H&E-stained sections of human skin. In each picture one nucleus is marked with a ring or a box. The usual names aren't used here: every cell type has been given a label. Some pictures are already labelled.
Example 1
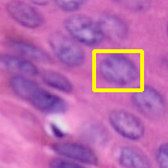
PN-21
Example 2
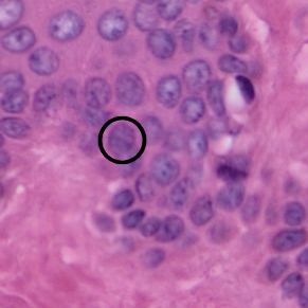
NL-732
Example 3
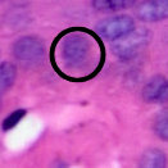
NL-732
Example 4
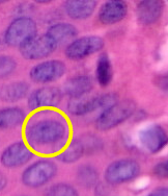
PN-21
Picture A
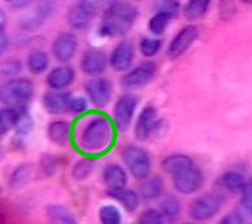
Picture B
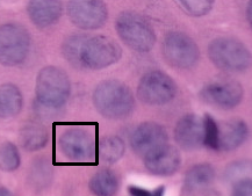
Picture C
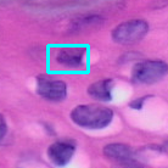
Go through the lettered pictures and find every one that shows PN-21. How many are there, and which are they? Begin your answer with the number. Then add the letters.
2: B, C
